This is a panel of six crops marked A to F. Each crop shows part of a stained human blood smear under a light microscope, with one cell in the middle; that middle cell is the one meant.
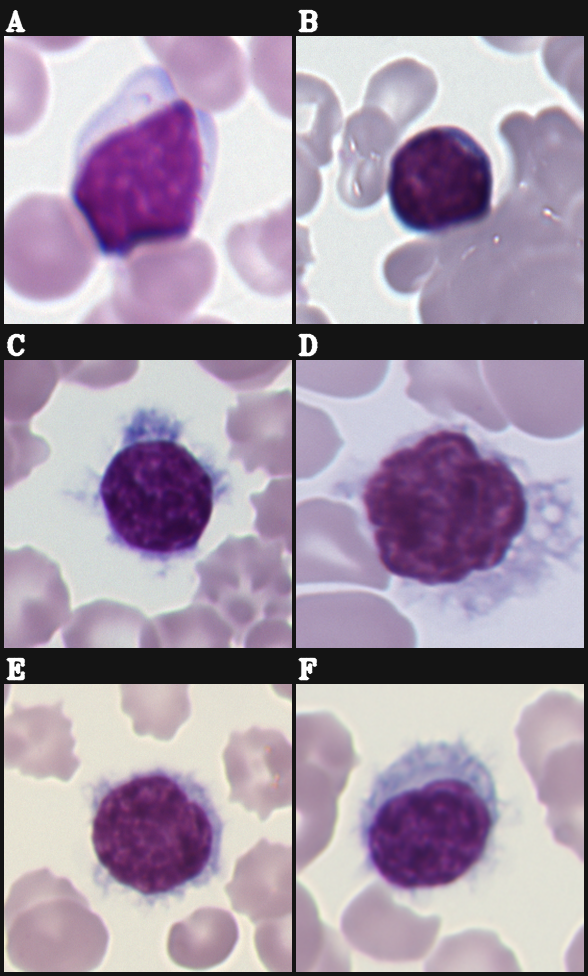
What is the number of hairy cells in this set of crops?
4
